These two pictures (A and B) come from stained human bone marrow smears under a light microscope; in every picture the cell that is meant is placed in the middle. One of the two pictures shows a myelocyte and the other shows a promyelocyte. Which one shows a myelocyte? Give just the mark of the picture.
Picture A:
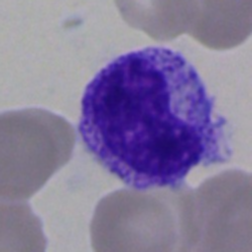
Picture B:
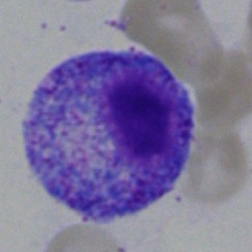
A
